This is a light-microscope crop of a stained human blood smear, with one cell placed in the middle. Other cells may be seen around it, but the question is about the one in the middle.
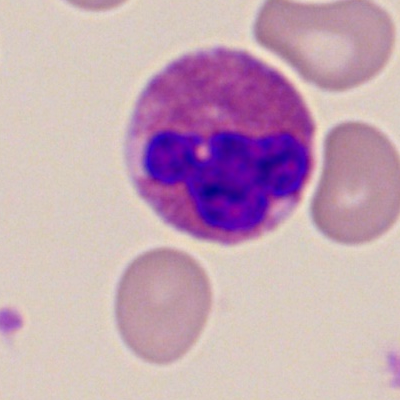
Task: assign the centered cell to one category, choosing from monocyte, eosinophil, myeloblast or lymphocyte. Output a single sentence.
The cell centered in this field of view is an eosinophil.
